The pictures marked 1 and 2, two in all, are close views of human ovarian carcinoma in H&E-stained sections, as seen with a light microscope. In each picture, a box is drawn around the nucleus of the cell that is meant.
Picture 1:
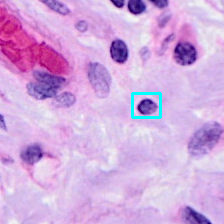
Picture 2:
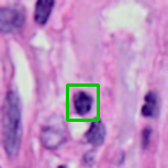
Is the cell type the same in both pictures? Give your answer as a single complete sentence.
Yes; the cells in both pictures are lymphocytes.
